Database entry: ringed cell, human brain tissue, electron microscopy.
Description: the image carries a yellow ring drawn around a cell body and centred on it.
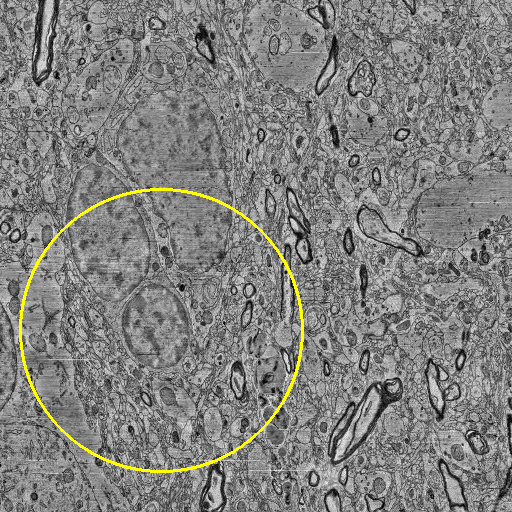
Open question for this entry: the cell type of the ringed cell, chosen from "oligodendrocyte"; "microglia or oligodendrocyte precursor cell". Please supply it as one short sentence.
The ringed cell is an oligodendrocyte.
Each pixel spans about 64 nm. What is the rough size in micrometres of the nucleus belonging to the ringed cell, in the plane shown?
In this plane the nucleus spans approximately 6 by 4 micrometers.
